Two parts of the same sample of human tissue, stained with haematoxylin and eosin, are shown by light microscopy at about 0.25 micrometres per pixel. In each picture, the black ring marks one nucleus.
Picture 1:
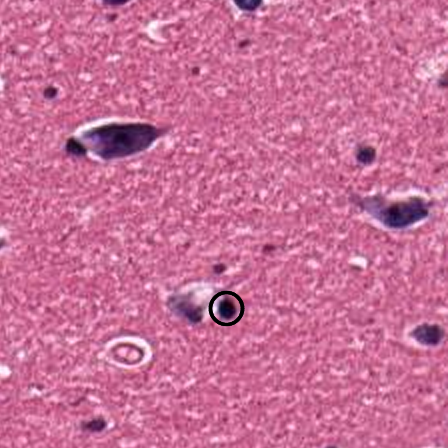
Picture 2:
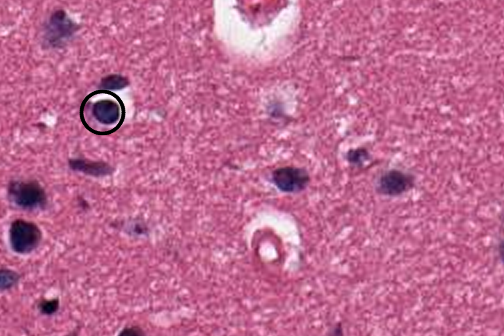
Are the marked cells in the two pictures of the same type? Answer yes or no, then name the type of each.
Yes, both are oligodendrocytes.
